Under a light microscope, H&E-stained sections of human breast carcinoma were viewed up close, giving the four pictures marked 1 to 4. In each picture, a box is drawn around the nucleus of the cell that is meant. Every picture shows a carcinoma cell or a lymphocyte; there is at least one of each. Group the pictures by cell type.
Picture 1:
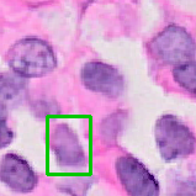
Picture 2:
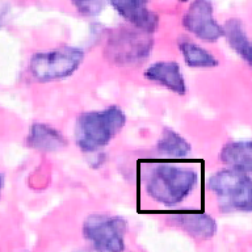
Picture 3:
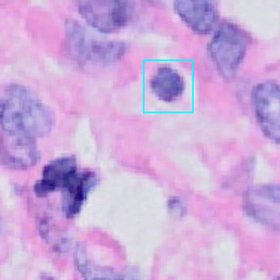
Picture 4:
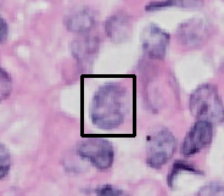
1: carcinoma cell
2: carcinoma cell
3: lymphocyte
4: carcinoma cell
